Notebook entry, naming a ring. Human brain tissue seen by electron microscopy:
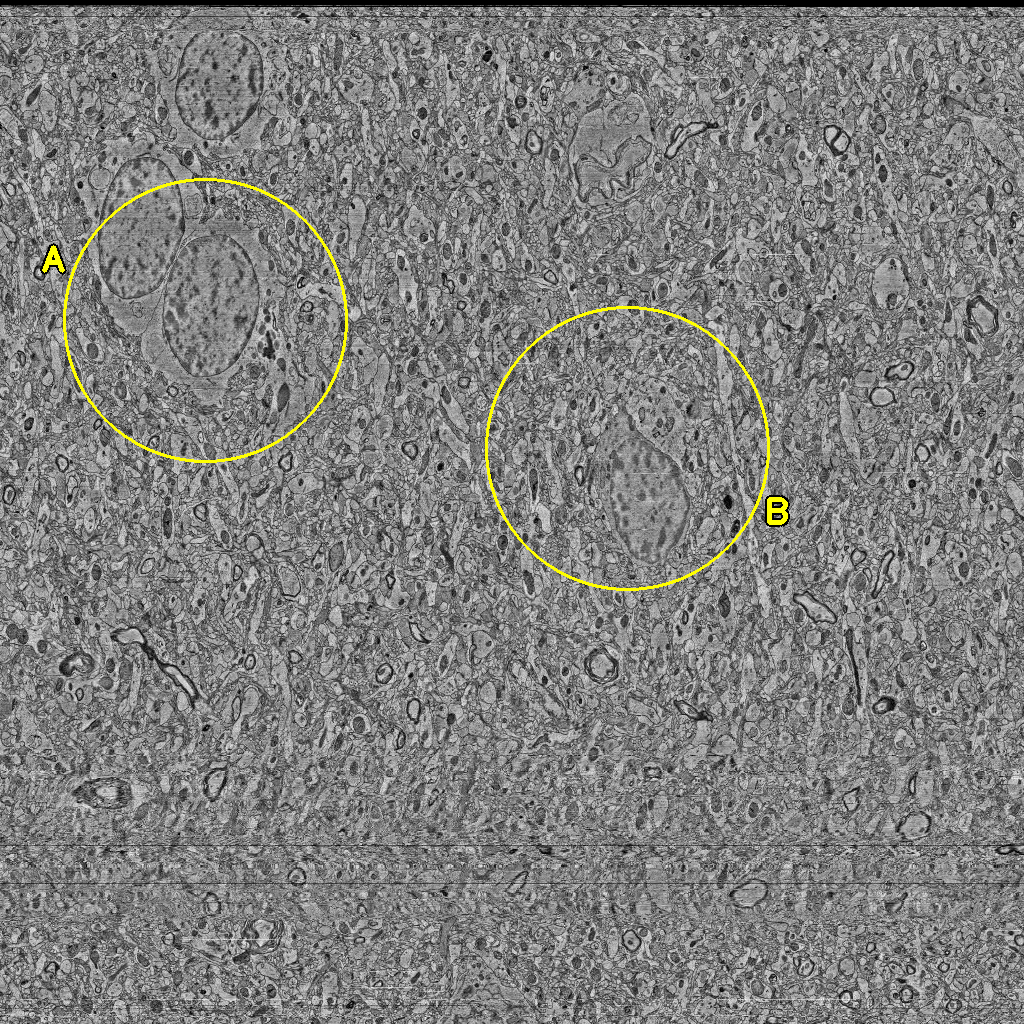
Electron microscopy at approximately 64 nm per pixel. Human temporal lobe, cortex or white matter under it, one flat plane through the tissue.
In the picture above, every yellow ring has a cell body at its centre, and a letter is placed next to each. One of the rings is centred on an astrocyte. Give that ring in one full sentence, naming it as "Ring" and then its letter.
Ring A is the ring whose centre holds the cell asked for.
